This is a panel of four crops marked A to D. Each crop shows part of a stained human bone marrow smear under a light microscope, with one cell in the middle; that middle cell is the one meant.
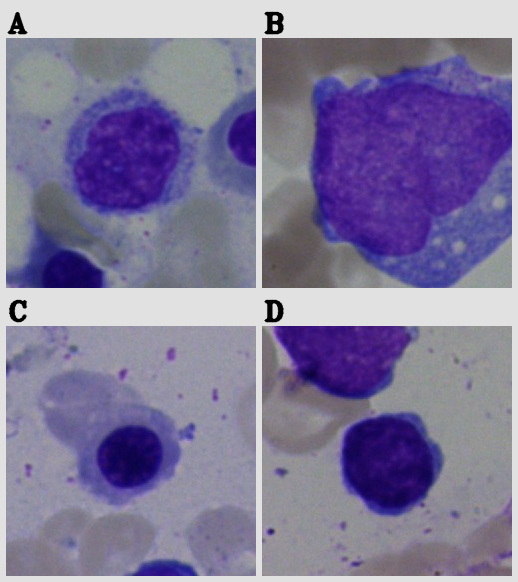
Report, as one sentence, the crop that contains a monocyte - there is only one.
Within this set, crop A is the one with a monocyte at its center.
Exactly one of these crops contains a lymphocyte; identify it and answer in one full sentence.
As for which crop shows a lymphocyte, it is crop D.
